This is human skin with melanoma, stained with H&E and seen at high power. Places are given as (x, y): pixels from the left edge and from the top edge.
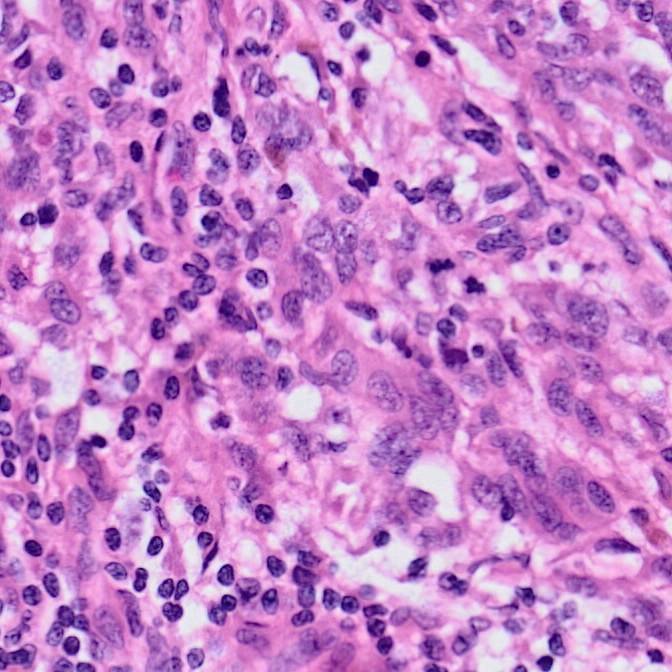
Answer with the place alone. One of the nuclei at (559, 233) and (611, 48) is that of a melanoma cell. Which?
(611, 48)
